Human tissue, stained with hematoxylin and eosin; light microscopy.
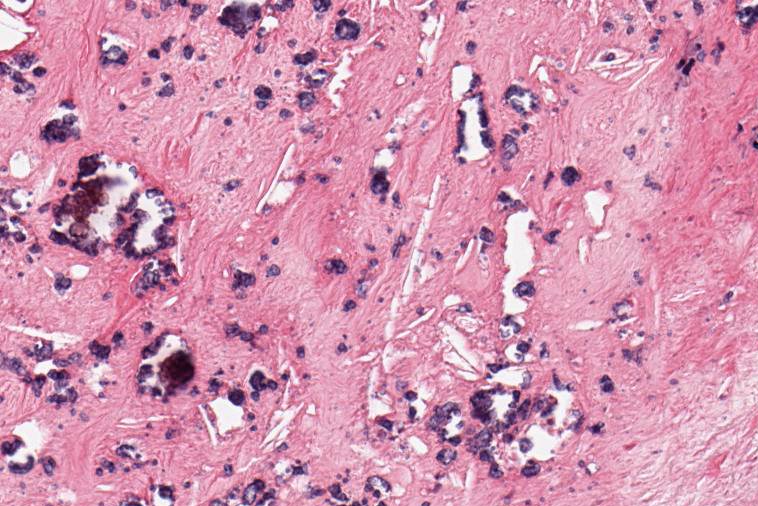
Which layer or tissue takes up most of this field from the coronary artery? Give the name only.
tunica intima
